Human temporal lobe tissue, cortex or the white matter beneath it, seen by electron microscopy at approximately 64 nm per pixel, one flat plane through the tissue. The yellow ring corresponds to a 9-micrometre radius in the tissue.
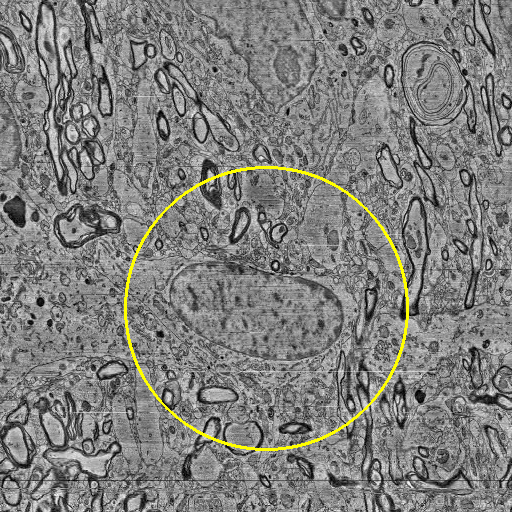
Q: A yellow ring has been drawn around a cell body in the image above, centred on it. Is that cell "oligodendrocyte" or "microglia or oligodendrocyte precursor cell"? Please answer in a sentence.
The ring surrounds the cell body of a microglial cell or oligodendrocyte precursor cell.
